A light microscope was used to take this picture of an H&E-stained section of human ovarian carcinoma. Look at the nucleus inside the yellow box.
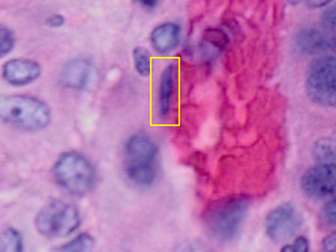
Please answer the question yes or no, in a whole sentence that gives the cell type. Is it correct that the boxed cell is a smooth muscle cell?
No, as classified here, the boxed cell is an endothelial cell and not a smooth muscle cell.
